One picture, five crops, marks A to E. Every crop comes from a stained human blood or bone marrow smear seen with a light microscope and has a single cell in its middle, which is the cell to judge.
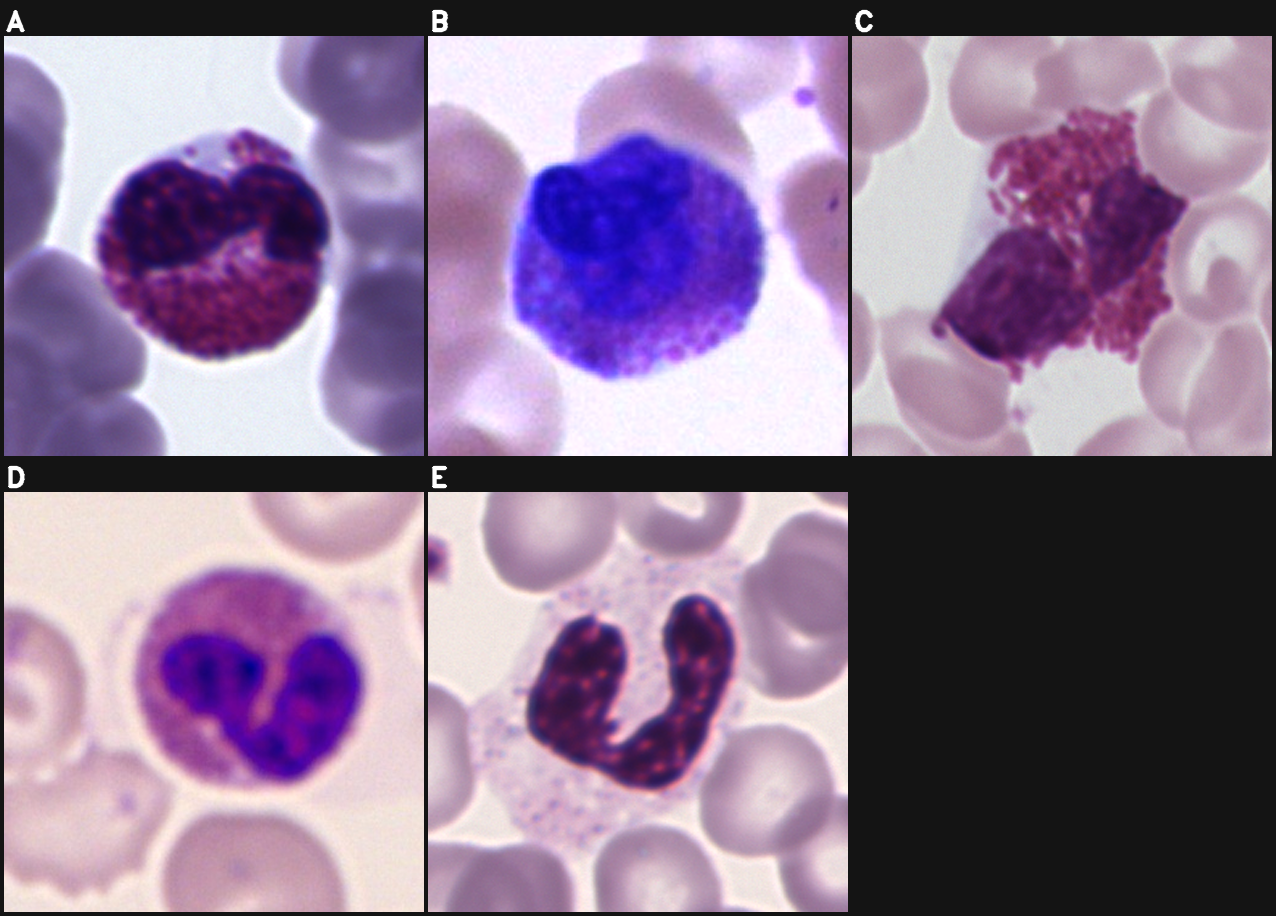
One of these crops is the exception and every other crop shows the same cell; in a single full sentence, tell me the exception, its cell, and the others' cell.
Only crop E differs, being a neutrophil, while the others all show eosinophils.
